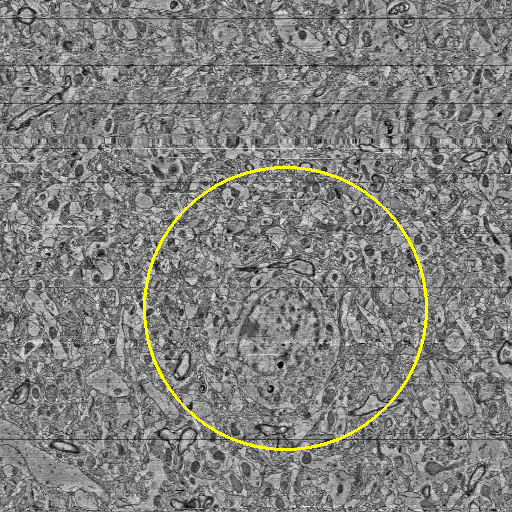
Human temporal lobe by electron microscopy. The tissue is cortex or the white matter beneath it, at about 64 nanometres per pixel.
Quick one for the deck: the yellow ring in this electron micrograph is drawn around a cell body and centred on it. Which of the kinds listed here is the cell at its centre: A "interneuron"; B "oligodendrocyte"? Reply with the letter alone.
A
